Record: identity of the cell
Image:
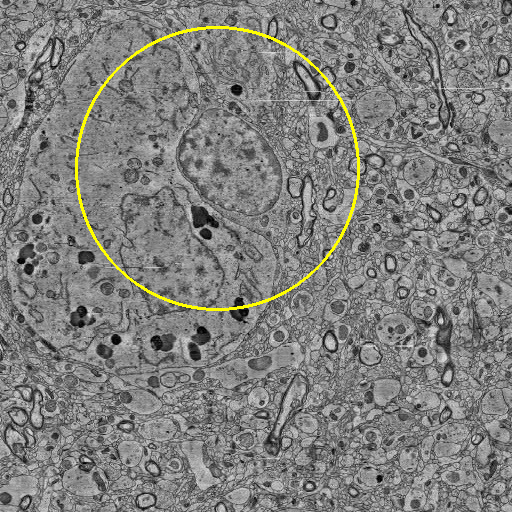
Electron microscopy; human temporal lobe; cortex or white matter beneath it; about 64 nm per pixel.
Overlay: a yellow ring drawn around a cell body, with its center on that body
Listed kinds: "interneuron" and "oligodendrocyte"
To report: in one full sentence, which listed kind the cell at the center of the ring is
In the image, the cell body at the ring's center belongs to an oligodendrocyte.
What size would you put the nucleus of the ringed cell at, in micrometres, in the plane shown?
In this plane, approximately 8 by 6 micrometers.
